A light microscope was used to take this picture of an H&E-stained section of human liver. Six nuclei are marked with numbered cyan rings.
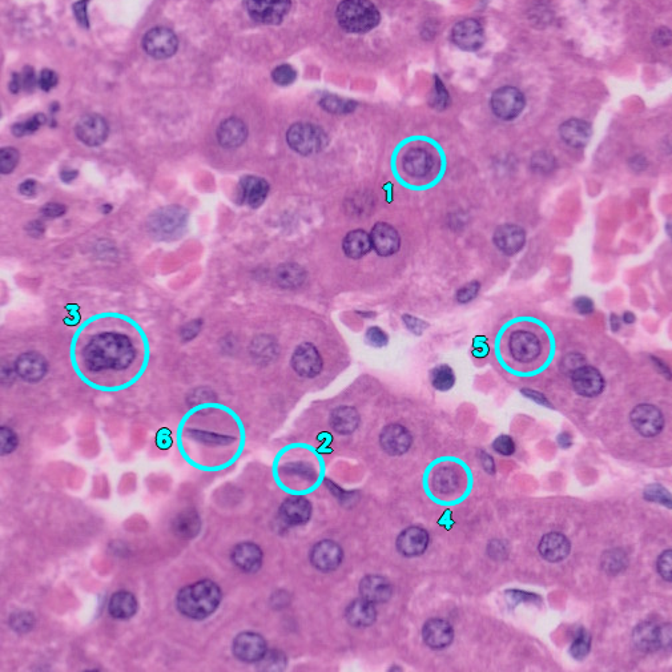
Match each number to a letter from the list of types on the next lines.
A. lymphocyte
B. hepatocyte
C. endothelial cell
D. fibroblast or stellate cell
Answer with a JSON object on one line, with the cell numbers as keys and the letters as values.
{"1": "B", "2": "D", "3": "B", "4": "B", "5": "B", "6": "D"}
